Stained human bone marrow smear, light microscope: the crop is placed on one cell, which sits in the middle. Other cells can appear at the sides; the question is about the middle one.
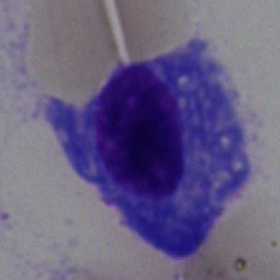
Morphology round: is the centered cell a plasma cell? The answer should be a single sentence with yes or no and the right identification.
Yes, the one cell at the centre is a plasma cell.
